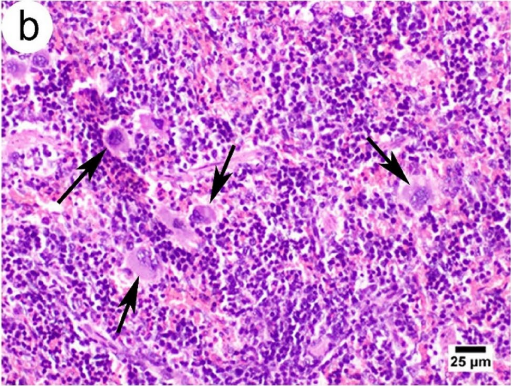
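Splenic tissue with several megakaryocytes scattered among densely packed lymphoid cells. The megakaryocytes are very large cells, many times the size of their neighbours, with large irregular, lobed nuclei and ample pale pink cytoplasm. Around them lie numerous small round cells with dark purple nuclei and scant cytoplasm, closely packed in sheets and cords. Red blood cells appear as small pink bodies in places between the cells, and a few delicate pink strands of connective tissue run through the field.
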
